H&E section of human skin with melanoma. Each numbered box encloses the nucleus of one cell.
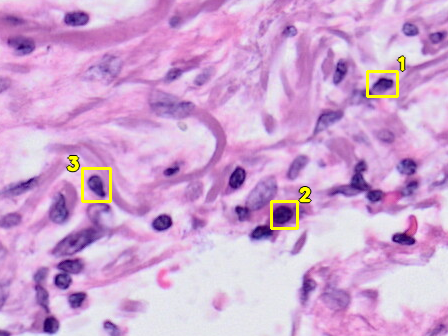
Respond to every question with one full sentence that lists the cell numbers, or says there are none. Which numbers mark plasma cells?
Where the numbered cells are concerned, only number 2 is a plasma cell.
